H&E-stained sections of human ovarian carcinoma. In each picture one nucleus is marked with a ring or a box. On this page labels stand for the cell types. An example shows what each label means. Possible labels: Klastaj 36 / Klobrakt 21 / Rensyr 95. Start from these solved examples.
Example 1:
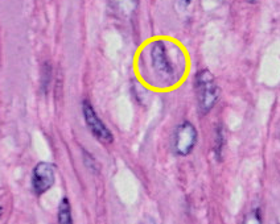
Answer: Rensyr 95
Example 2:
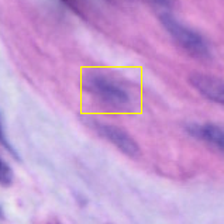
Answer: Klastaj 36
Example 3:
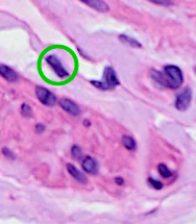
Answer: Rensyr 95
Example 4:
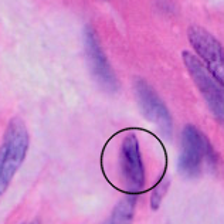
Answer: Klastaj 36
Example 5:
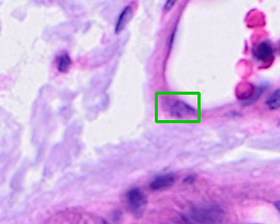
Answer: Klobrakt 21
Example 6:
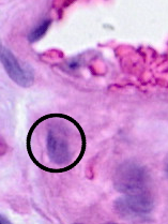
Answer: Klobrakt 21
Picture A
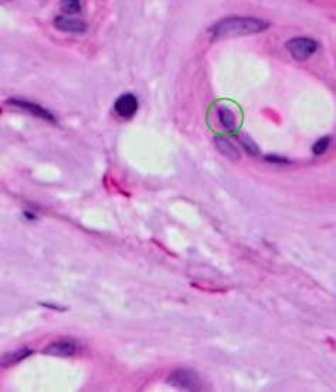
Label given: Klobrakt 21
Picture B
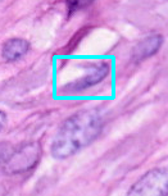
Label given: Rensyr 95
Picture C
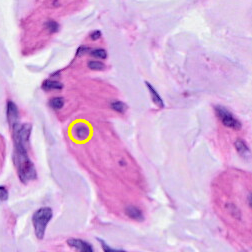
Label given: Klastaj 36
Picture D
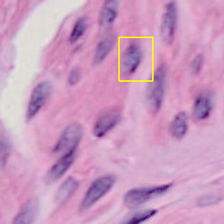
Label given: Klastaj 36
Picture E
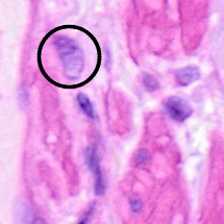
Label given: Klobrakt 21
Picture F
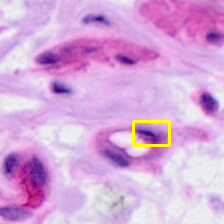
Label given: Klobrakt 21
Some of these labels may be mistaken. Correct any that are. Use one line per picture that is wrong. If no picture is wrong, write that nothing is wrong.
Wrong: E (Klobrakt 21); correct: Rensyr 95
